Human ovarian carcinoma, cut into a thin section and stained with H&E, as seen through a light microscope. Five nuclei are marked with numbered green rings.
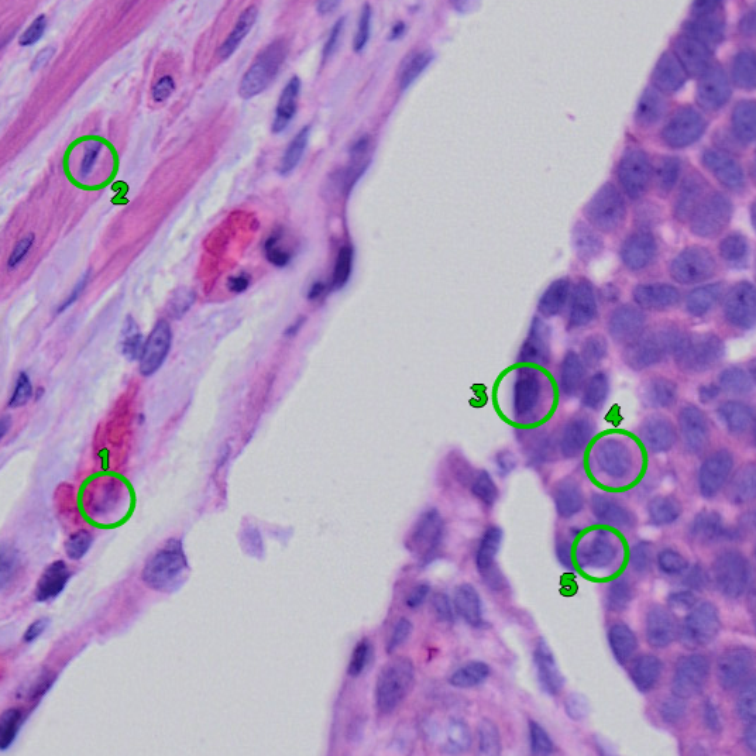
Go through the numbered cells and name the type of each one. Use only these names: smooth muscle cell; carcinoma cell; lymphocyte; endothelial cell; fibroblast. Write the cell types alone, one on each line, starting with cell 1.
endothelial cell
smooth muscle cell
carcinoma cell
carcinoma cell
carcinoma cell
